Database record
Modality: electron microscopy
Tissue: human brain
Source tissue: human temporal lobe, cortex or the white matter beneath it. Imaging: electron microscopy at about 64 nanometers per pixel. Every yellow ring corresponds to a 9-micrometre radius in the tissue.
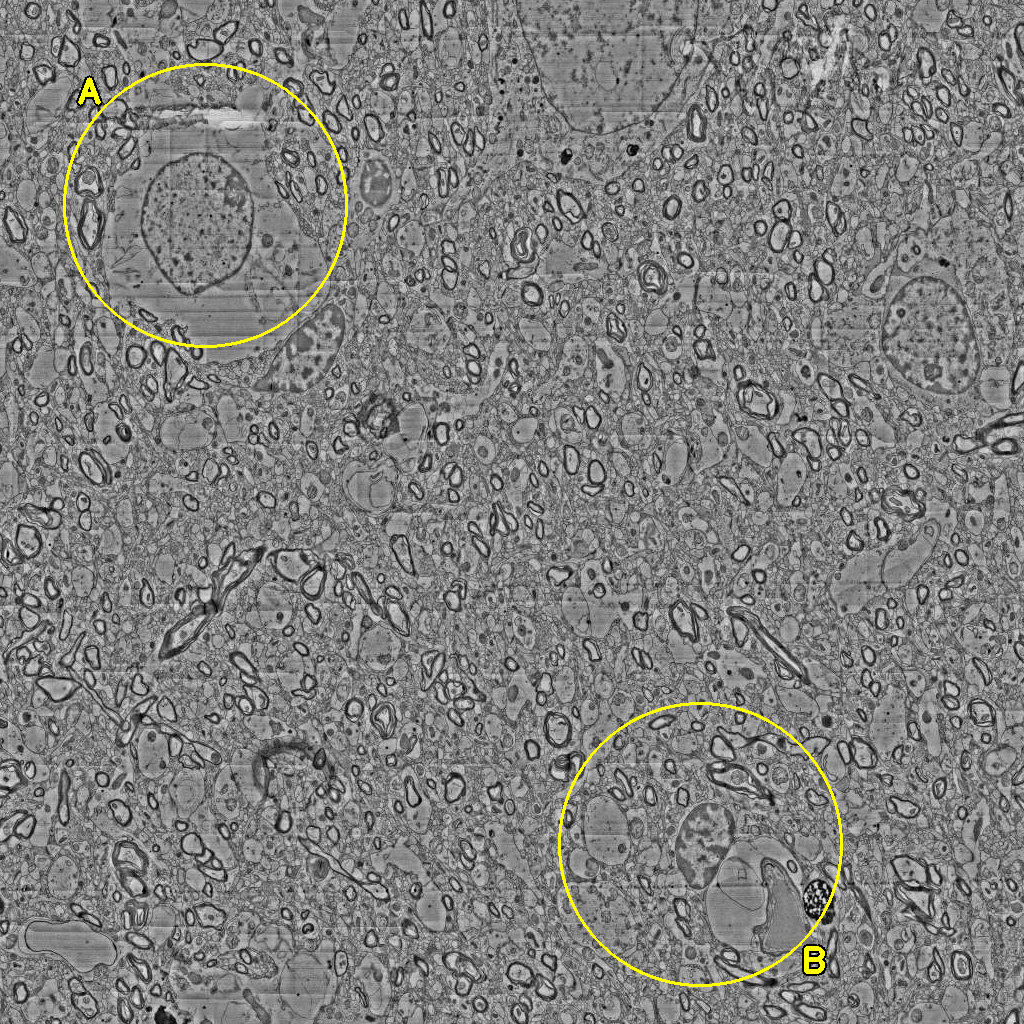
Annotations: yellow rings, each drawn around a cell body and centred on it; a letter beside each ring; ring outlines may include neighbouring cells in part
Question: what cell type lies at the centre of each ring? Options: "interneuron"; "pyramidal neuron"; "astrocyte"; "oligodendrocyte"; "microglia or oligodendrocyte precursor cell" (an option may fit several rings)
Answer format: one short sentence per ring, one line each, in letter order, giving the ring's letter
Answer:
Ring A corresponds to an astrocyte.
Ring B corresponds to a microglial cell or oligodendrocyte precursor cell.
